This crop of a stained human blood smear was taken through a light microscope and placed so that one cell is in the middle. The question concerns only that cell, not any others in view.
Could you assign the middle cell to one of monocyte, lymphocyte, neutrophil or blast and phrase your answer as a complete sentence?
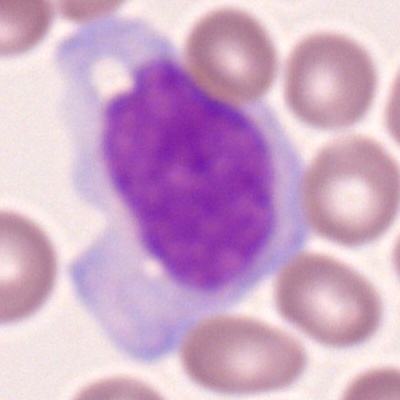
The center cell of this crop is a monocyte.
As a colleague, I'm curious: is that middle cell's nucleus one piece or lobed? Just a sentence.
A single compact nucleus, round, oval or kidney-shaped, is what this cell shows.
